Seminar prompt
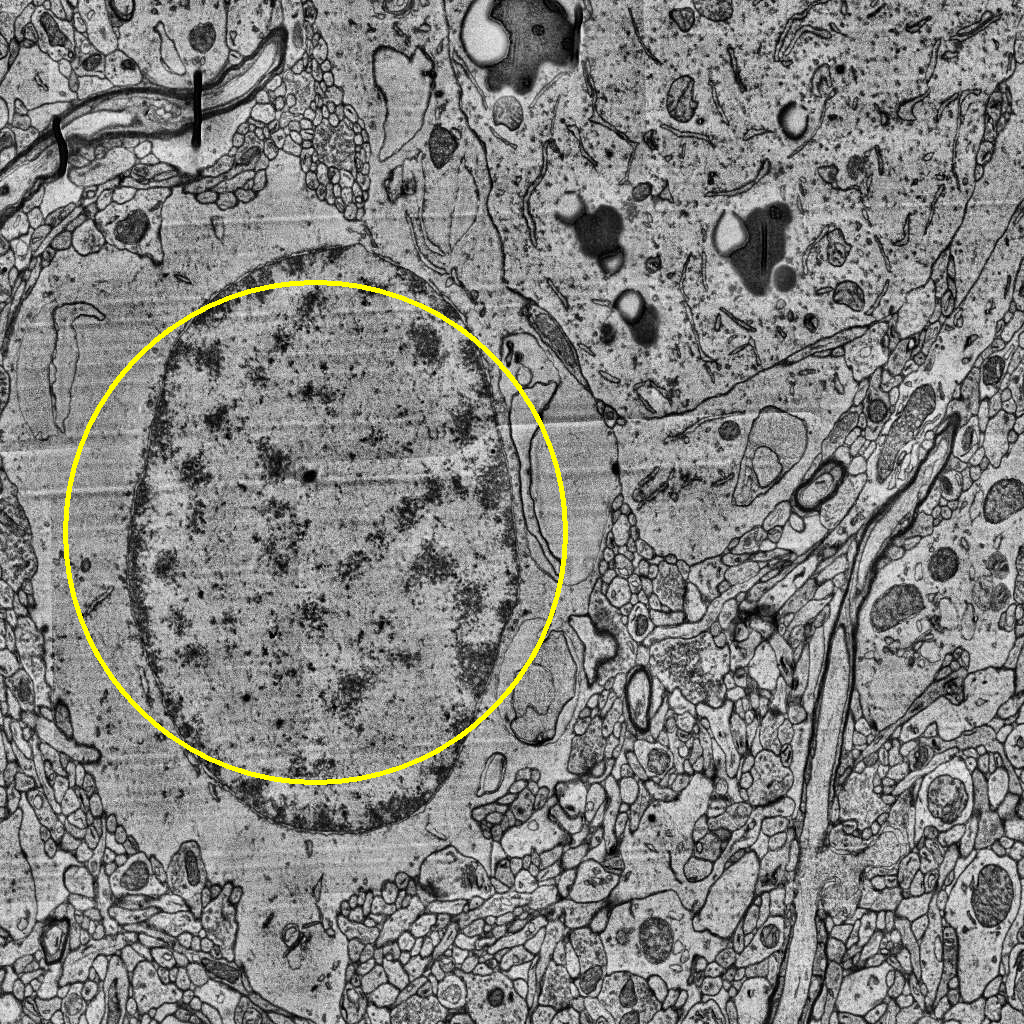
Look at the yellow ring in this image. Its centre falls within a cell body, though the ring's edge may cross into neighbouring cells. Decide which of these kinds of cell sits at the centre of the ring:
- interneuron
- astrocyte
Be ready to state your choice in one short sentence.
The kind of cell at the ring's centre is an astrocyte.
